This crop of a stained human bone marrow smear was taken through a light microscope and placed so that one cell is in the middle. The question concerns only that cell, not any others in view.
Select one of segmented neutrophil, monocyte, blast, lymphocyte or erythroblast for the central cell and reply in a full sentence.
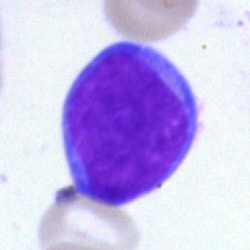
In the central position of this crop, the cell is a blast.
